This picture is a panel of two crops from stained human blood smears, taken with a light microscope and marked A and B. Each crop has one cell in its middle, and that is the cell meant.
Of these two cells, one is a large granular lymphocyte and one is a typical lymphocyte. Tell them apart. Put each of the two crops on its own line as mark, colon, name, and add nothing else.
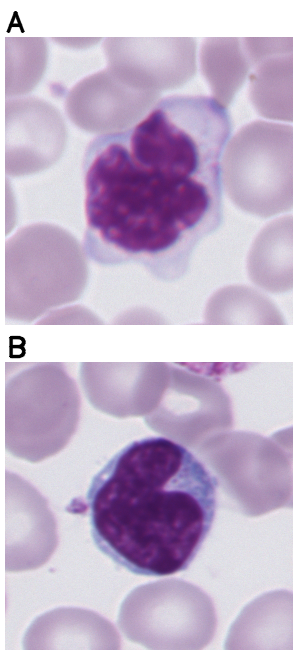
A: large granular lymphocyte
B: typical lymphocyte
